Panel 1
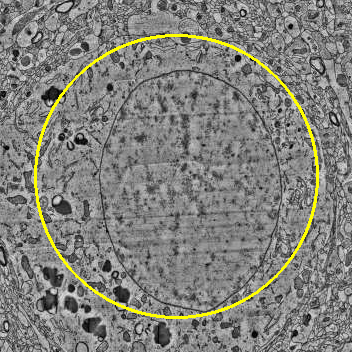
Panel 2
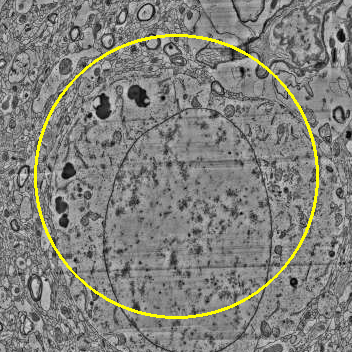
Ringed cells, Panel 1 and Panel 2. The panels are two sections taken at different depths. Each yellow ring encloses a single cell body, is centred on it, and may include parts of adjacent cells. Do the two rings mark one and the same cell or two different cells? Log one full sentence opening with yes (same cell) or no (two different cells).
No, each of the two rings holds a different cell.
